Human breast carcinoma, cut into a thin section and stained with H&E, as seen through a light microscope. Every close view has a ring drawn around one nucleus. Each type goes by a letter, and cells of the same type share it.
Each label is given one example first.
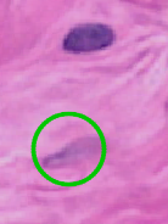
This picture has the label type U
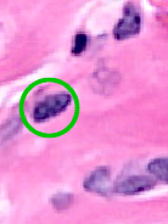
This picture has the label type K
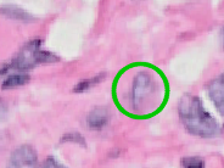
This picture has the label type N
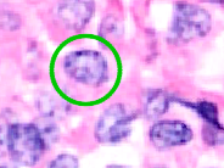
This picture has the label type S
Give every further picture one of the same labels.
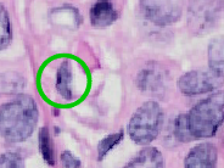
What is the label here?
type N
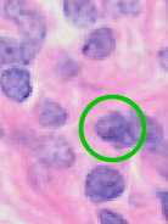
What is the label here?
type S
